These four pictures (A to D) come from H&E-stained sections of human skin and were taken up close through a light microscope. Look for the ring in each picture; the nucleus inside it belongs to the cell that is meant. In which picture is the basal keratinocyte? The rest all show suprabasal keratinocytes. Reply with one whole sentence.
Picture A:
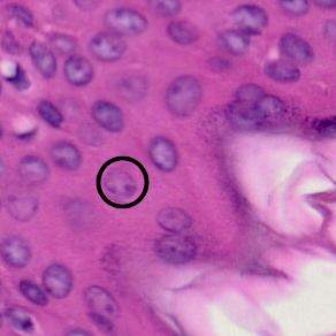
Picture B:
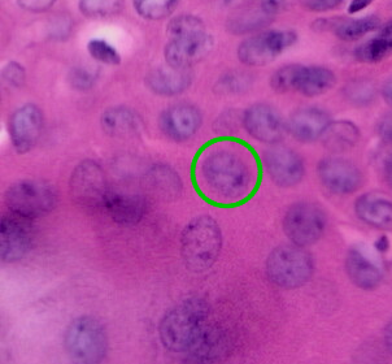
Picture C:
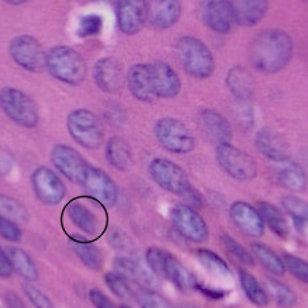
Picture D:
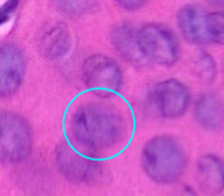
The cell in picture C is the basal keratinocyte.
